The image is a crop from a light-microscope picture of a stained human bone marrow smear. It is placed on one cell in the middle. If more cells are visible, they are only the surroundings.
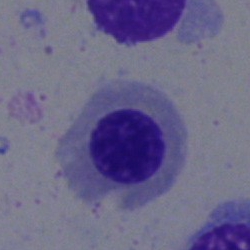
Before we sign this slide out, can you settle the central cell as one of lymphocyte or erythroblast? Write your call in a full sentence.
At the crop's centre, the cell is an erythroblast.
